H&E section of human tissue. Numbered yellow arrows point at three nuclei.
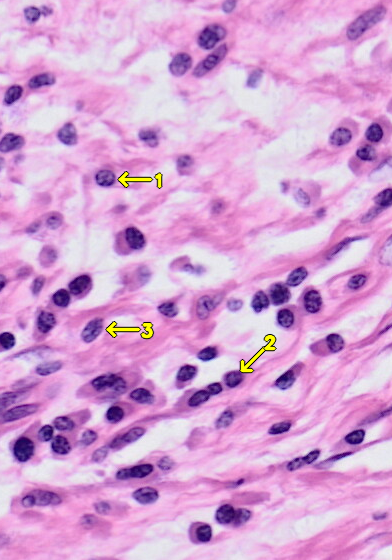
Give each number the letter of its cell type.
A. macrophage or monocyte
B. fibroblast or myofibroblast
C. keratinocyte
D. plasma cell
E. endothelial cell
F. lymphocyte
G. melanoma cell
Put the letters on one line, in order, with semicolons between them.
D; D; F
